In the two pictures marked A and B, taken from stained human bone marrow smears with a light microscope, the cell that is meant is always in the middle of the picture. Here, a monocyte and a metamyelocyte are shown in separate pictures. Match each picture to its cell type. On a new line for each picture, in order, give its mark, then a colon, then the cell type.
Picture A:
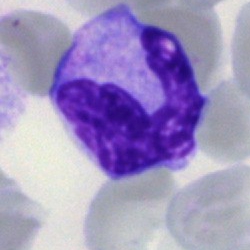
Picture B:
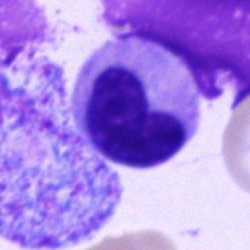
A: monocyte
B: metamyelocyte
